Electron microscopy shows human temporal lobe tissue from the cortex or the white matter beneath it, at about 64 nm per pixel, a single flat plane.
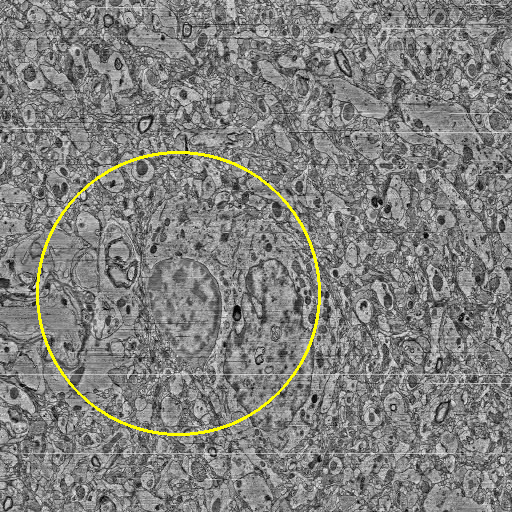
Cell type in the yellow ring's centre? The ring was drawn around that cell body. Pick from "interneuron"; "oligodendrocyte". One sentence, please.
The ringed cell body is that of an oligodendrocyte.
